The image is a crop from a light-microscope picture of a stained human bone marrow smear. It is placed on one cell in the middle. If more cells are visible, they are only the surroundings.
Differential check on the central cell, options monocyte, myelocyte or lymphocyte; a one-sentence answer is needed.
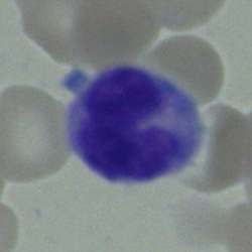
The centrally placed cell is classified as a monocyte.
